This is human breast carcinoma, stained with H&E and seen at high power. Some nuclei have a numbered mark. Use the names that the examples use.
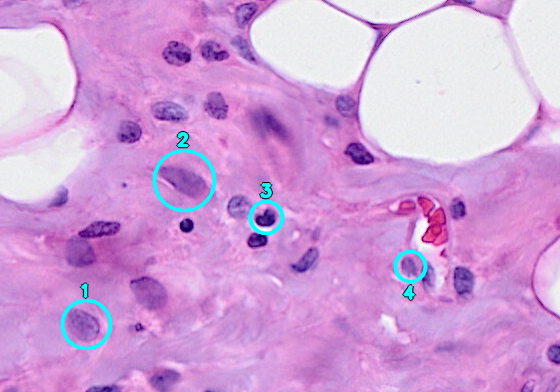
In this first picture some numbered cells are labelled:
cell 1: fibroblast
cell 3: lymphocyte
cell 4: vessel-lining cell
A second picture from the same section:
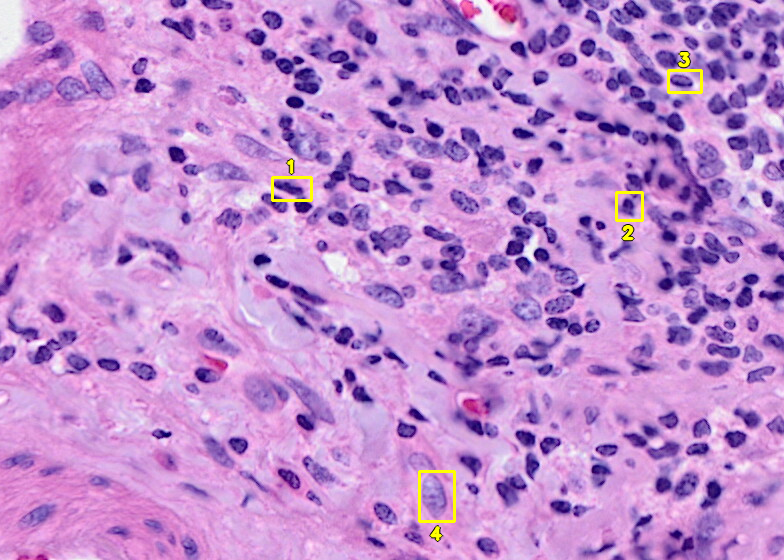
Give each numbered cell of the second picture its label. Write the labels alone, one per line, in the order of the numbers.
lymphocyte
lymphocyte
lymphocyte
vessel-lining cell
